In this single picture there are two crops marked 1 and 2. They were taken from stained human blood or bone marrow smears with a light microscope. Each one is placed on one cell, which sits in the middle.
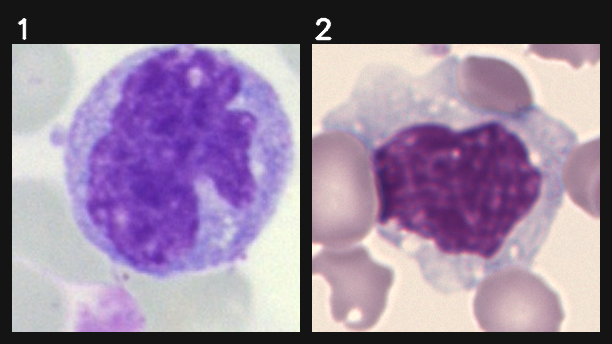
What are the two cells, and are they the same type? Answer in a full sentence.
Yes, the cells under consideration in both crops are monocytes.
